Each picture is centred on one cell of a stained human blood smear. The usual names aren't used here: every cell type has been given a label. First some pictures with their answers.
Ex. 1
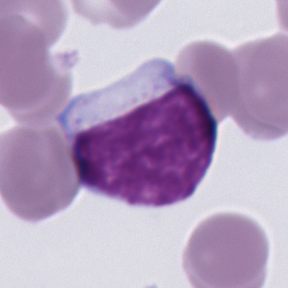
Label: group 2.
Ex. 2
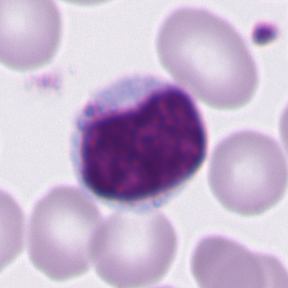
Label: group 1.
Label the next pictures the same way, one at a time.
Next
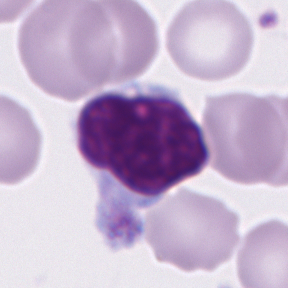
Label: group 1.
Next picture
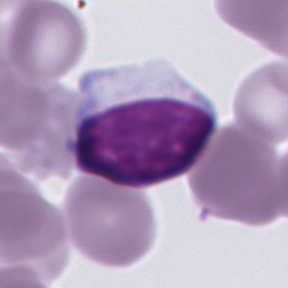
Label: group 2.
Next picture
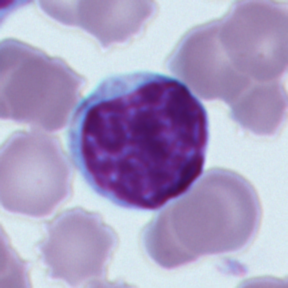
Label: group 1.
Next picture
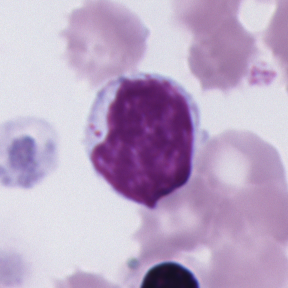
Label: group 1.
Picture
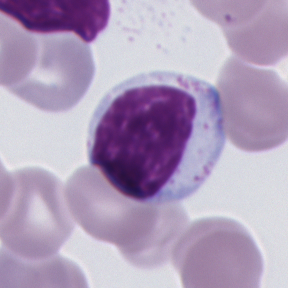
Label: group 2.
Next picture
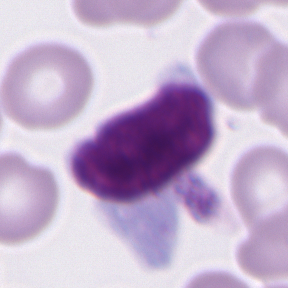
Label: group 1.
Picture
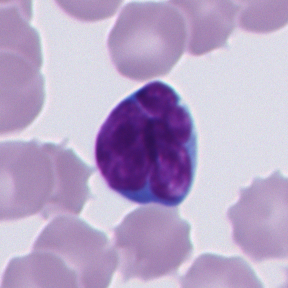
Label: group 1.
